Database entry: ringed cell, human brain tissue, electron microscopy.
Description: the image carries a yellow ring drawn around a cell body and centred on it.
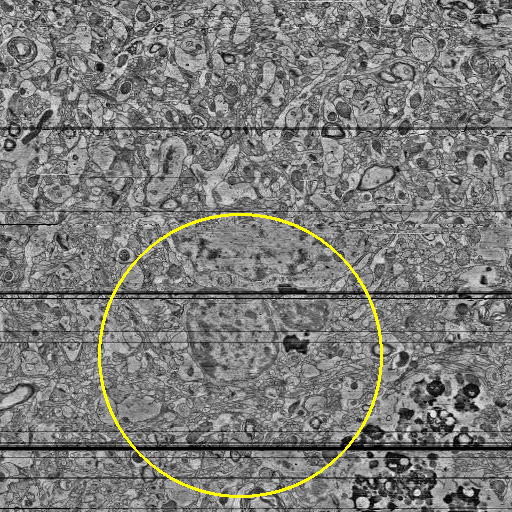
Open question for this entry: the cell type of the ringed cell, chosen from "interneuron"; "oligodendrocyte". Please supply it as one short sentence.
The ringed cell is an oligodendrocyte.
